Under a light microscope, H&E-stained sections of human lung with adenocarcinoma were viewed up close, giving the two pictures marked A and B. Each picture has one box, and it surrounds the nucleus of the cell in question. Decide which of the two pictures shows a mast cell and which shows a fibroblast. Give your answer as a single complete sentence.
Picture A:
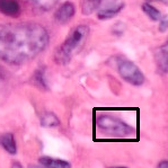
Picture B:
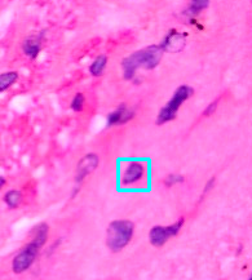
Picture B shows a mast cell, while picture A shows a fibroblast.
